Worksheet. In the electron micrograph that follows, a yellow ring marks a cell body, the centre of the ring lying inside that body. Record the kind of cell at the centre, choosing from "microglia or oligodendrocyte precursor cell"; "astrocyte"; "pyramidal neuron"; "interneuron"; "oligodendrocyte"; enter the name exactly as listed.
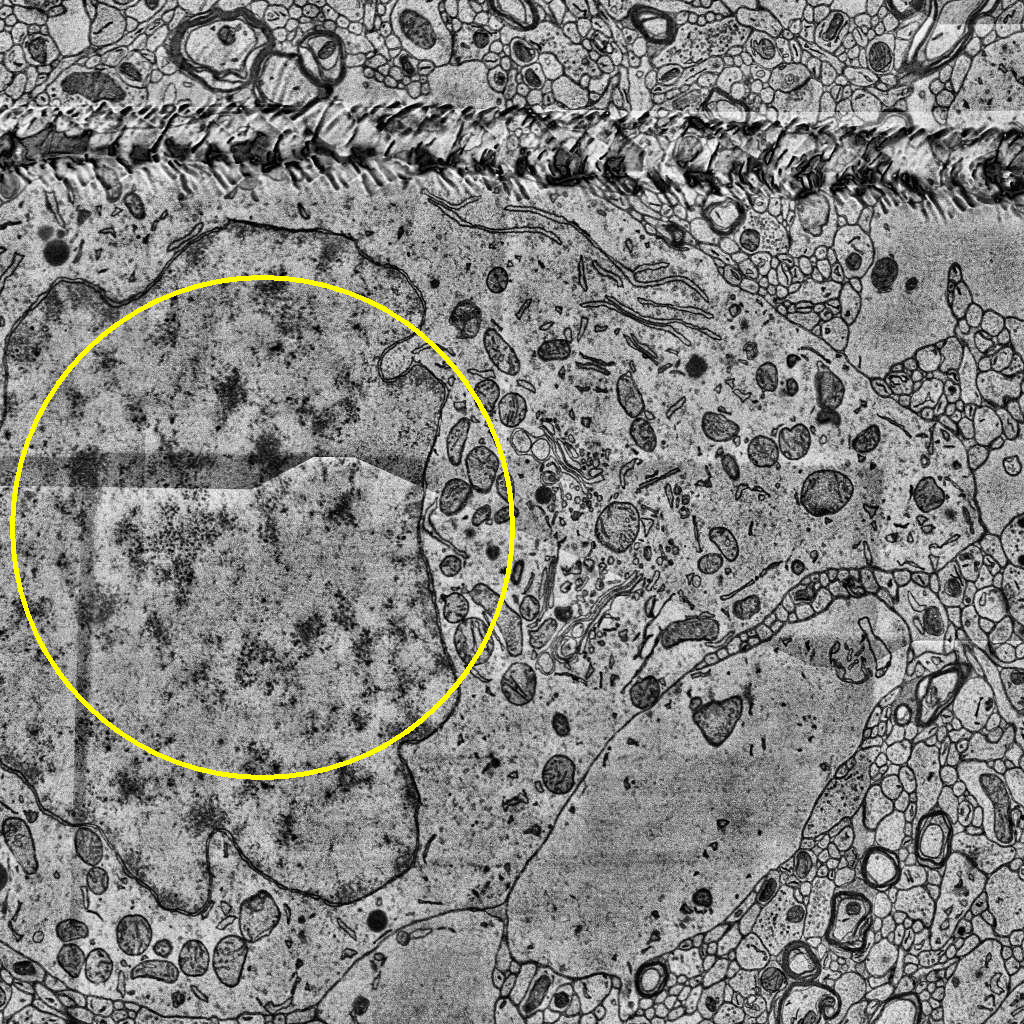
interneuron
